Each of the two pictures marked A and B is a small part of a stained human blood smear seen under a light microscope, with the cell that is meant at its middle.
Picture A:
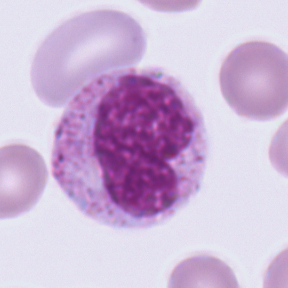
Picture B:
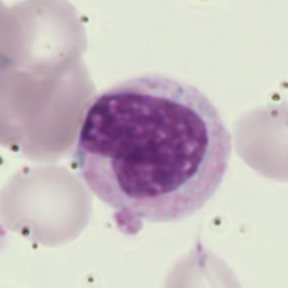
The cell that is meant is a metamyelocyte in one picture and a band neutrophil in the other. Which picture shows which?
A: band neutrophil
B: metamyelocyte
